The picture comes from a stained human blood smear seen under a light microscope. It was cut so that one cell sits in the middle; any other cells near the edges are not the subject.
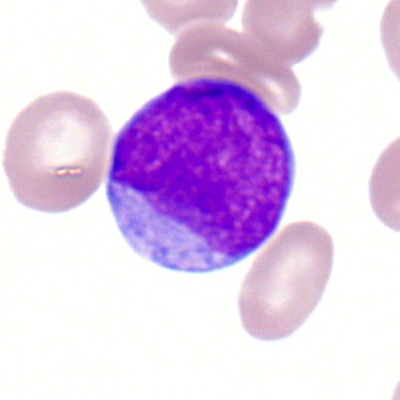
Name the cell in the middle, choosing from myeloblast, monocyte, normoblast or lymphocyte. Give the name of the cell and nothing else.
myeloblast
